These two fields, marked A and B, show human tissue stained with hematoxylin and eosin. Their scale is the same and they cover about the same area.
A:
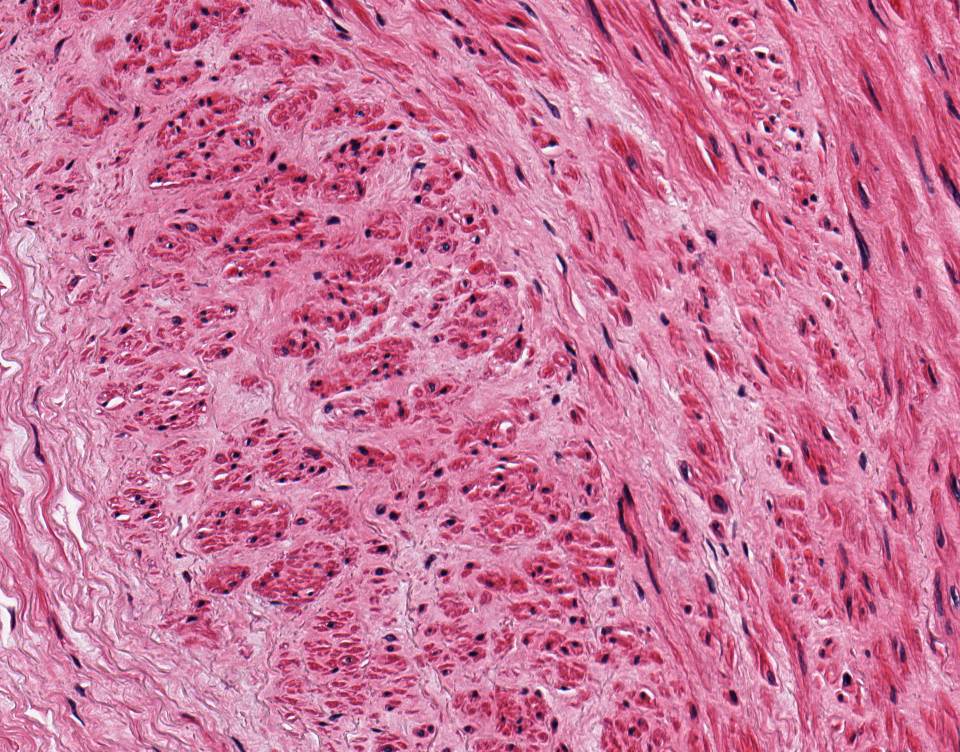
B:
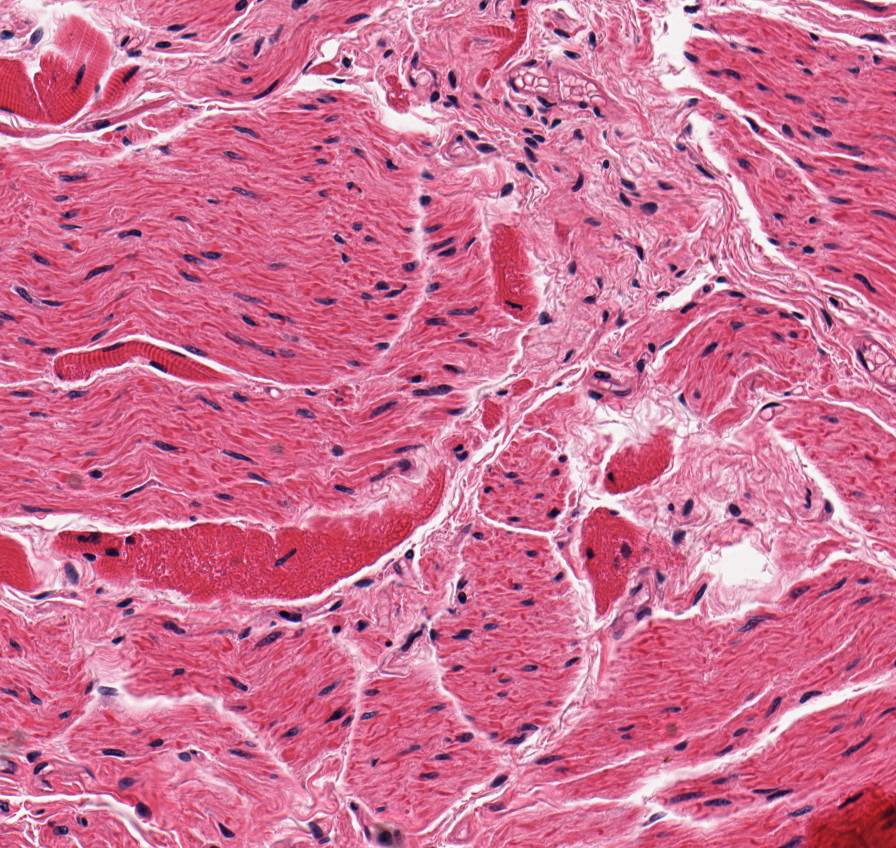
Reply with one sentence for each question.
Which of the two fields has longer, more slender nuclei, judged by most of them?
It is field B whose nuclei are the more elongated.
